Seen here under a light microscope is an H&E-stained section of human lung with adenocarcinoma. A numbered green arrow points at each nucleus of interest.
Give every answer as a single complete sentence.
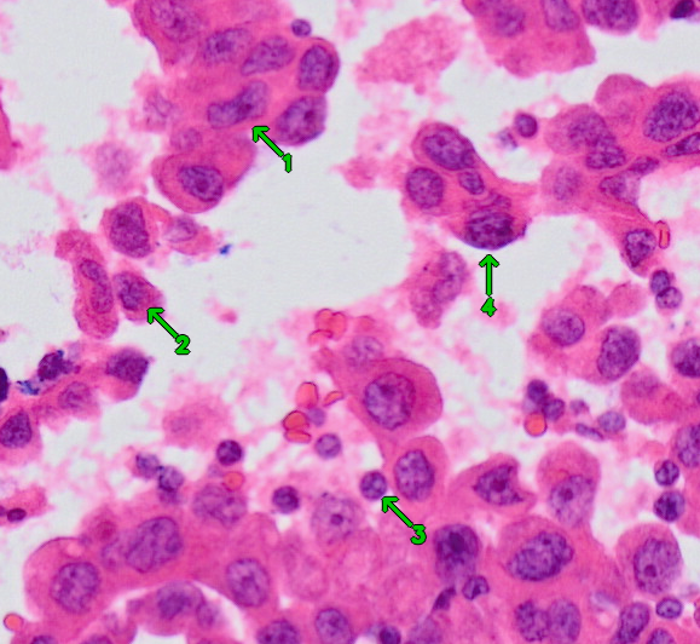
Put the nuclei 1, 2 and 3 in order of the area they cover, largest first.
The nuclei rank 1, 2, 3, from largest to smallest.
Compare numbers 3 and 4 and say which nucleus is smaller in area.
Number 3 is smaller, since number 4 takes up about 2.5 times as much area.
